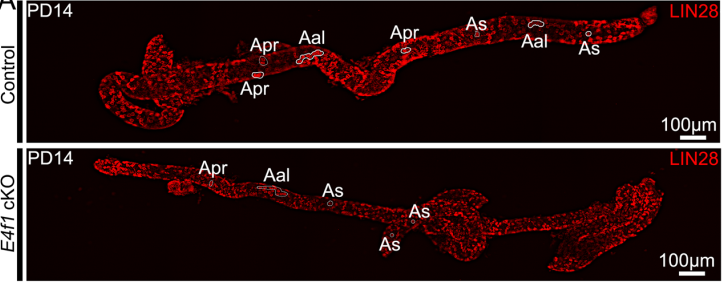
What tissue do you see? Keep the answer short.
Seminiferous tubules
